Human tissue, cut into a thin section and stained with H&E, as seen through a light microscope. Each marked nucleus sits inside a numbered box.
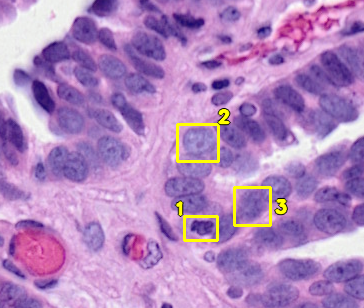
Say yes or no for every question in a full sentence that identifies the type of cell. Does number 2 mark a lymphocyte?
No, the cell identified by number 2 is a carcinoma cell, not a lymphocyte.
